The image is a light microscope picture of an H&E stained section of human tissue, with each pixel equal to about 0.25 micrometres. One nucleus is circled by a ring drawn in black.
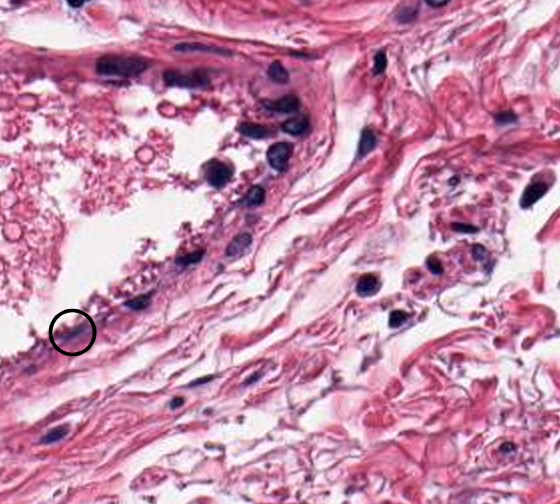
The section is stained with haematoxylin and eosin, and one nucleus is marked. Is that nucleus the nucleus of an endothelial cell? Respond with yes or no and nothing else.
yes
